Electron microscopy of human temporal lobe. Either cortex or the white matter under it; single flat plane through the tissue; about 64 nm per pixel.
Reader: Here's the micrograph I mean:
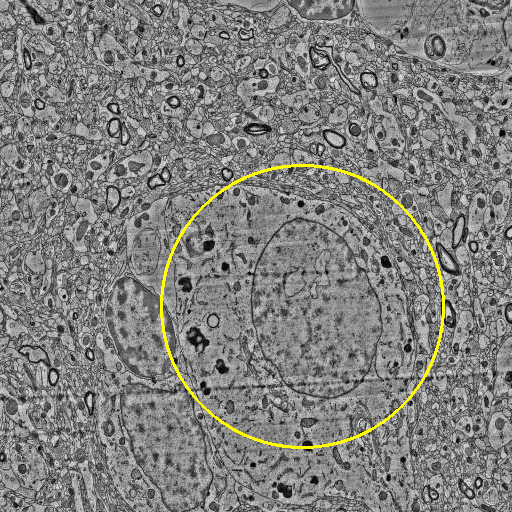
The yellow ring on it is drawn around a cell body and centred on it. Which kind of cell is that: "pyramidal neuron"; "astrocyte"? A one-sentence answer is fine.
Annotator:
The ring is centred on a pyramidal neuron.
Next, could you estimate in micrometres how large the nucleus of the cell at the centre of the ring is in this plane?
Approximately 12 by 8 micrometers in this plane.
